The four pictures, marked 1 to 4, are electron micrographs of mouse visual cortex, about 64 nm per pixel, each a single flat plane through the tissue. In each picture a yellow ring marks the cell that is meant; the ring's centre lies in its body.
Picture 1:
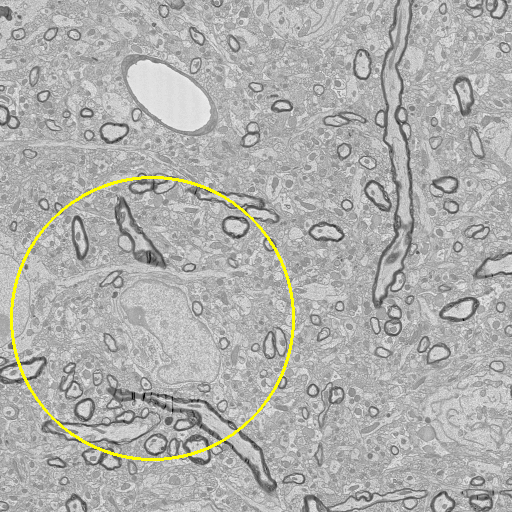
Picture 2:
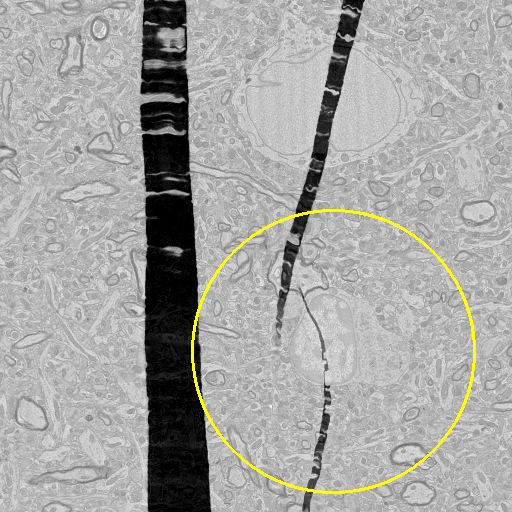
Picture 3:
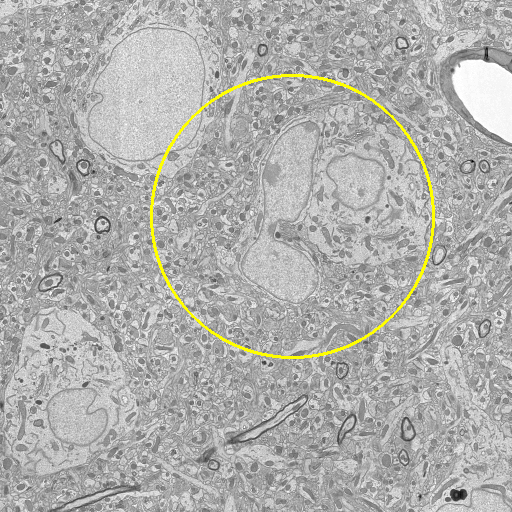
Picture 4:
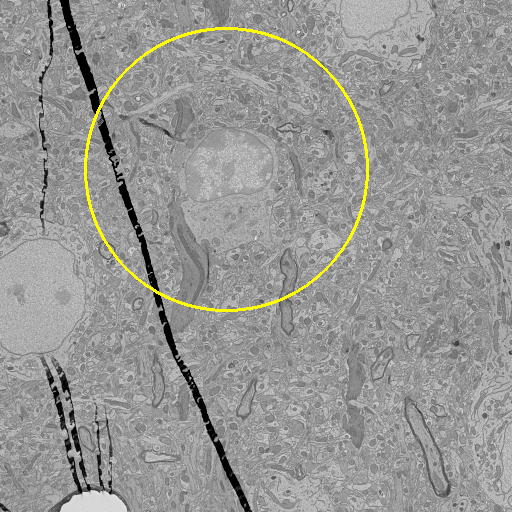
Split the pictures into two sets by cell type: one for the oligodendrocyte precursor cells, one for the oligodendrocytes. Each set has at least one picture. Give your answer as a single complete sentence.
Pictures 1 and 3 show oligodendrocyte precursor cells, while pictures 2 and 4 show oligodendrocytes.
